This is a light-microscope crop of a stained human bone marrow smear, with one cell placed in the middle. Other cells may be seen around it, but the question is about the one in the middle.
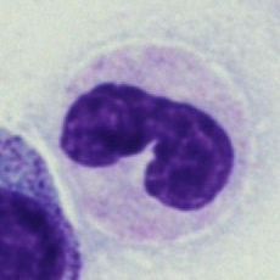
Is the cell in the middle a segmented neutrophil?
no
